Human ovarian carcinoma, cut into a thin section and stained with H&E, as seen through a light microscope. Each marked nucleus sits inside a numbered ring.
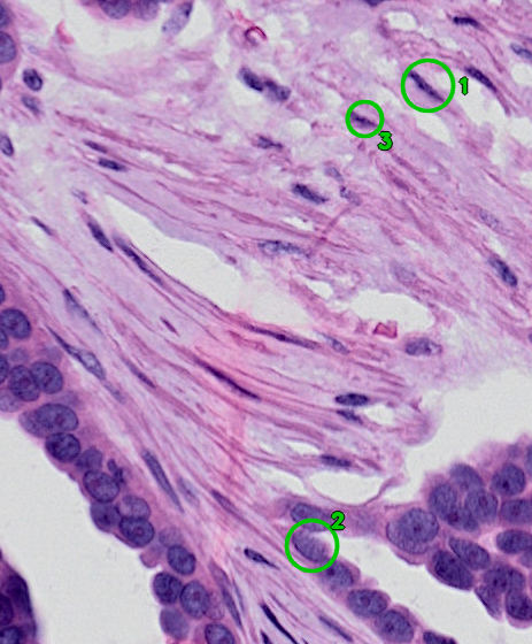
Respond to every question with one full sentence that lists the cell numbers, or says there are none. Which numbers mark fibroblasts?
By cell type, the cells numbered 1 and 3 are fibroblasts.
